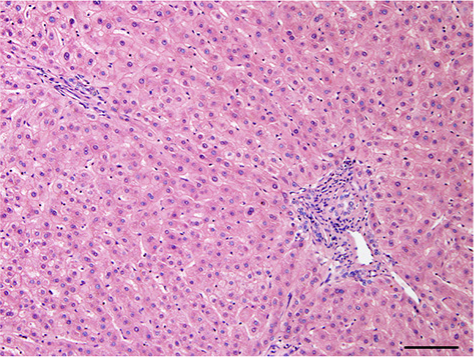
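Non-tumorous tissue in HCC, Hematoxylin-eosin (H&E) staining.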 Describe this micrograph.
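This is liver tissue in which large polygonal hepatocytes, with pink cytoplasm and round, centrally placed nuclei, are arranged in cords. The cords run in rows separated by narrow pale sinusoidal spaces. To the lower right lies a small vessel embedded in a patch of connective tissue, crowded with small dark nuclei, and another such cluster of small dark nuclei appears at the upper left. The hepatocytes are fairly uniform in size and look regular.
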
